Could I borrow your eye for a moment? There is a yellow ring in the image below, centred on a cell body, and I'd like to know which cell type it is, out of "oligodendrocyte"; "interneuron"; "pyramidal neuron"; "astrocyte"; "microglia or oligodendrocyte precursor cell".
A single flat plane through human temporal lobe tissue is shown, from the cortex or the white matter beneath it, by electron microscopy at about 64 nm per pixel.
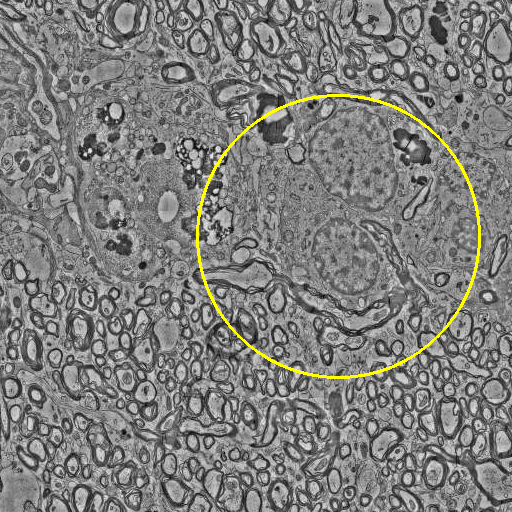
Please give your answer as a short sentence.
The cell body at the centre is that of an oligodendrocyte.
